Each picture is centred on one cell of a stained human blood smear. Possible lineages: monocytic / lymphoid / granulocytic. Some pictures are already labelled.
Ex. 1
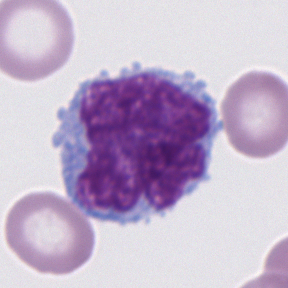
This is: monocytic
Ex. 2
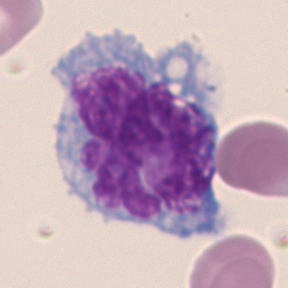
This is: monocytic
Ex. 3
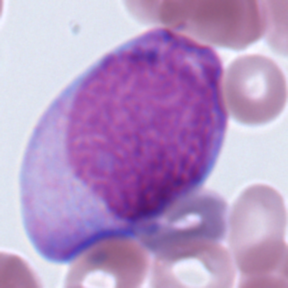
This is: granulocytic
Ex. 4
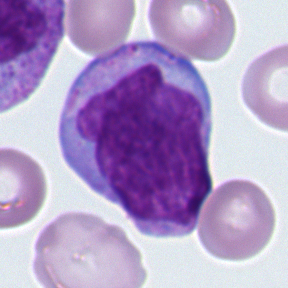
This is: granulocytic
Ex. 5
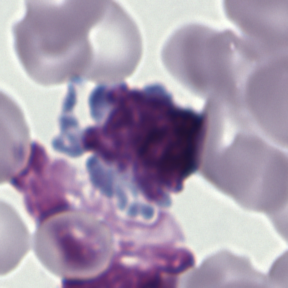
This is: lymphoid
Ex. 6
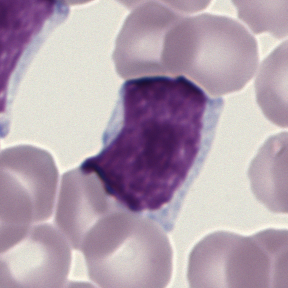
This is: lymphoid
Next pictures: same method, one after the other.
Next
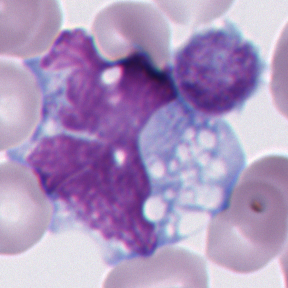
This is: monocytic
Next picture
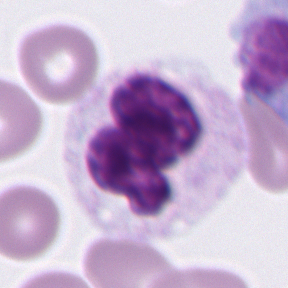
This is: granulocytic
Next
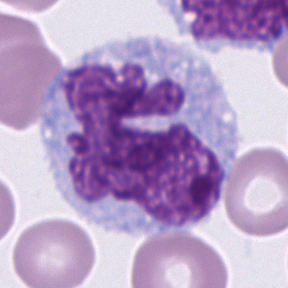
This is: monocytic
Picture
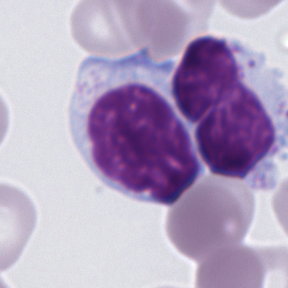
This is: lymphoid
